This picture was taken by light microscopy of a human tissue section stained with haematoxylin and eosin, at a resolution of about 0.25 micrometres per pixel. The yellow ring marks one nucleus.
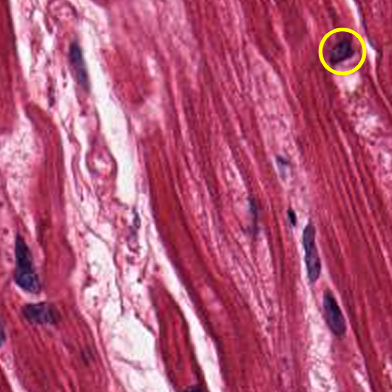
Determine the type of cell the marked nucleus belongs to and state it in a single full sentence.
The marked nucleus is the nucleus of a cardiomyocyte.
